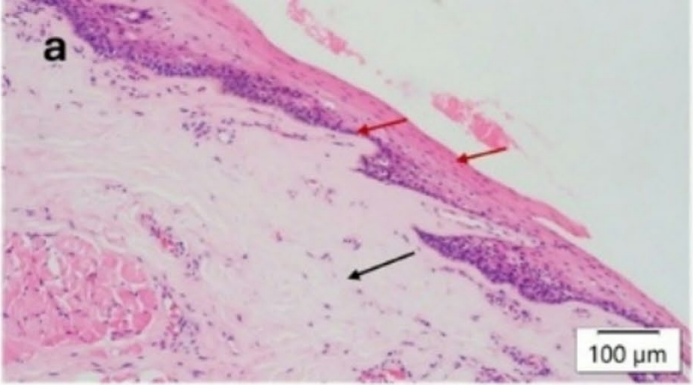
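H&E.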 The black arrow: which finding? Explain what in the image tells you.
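Juxta epithelial hyalinization. The connective tissue just beneath the epithelium is pale and homogeneous. Few nuclei lie in this zone.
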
